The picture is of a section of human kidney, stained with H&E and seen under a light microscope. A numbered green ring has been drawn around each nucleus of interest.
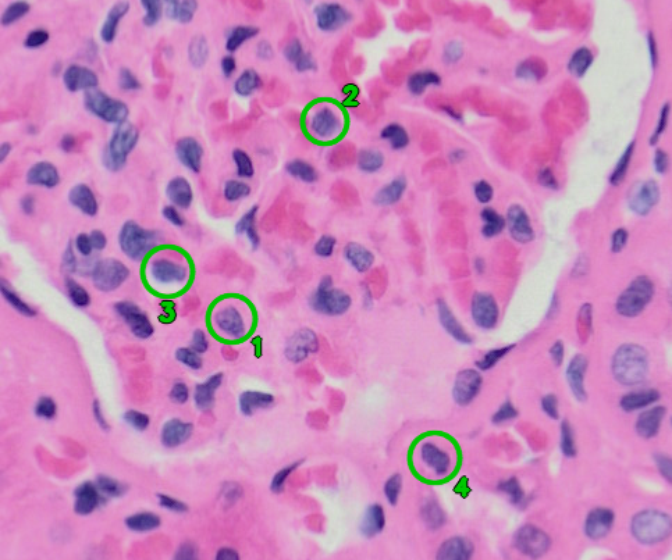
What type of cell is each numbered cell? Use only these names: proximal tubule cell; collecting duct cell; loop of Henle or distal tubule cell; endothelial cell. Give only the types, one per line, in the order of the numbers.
endothelial cell
endothelial cell
endothelial cell
loop of Henle or distal tubule cell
